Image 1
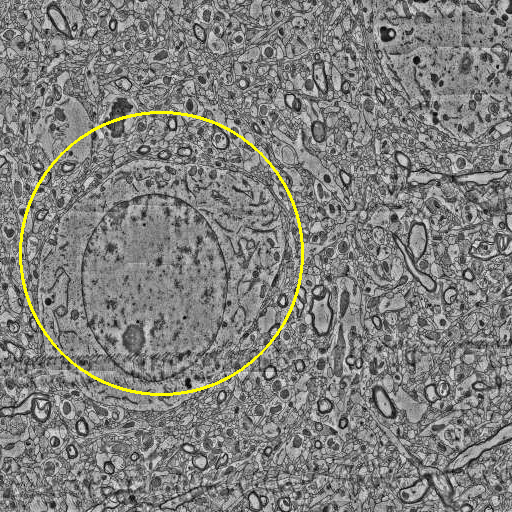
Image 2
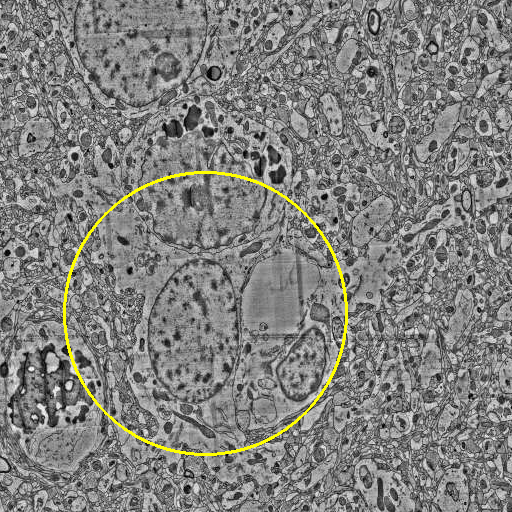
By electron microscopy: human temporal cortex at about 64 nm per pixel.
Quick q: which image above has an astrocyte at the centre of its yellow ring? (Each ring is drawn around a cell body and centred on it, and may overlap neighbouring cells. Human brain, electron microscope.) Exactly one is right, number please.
2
